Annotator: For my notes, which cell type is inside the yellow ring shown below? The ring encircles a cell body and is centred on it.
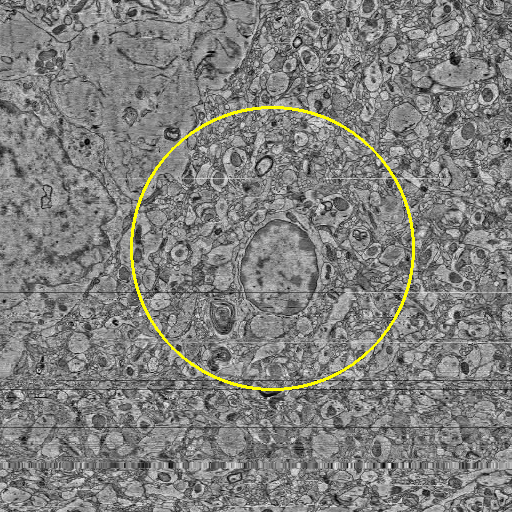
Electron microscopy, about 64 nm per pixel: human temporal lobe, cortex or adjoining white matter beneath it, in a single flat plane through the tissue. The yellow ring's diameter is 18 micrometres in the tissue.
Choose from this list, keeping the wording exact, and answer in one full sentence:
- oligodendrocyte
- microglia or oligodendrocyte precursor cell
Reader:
At the centre of the yellow ring there is a microglial cell or oligodendrocyte precursor cell, as shown in the picture.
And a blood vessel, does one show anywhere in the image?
Yes, there is one.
